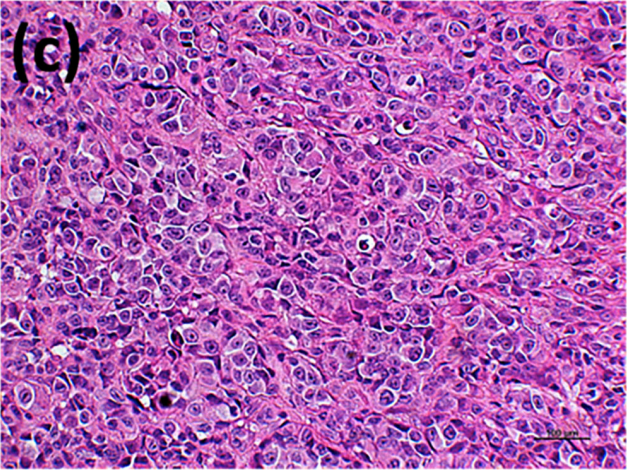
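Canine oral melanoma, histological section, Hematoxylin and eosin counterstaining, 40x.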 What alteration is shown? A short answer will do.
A: Marked nuclear atypia.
